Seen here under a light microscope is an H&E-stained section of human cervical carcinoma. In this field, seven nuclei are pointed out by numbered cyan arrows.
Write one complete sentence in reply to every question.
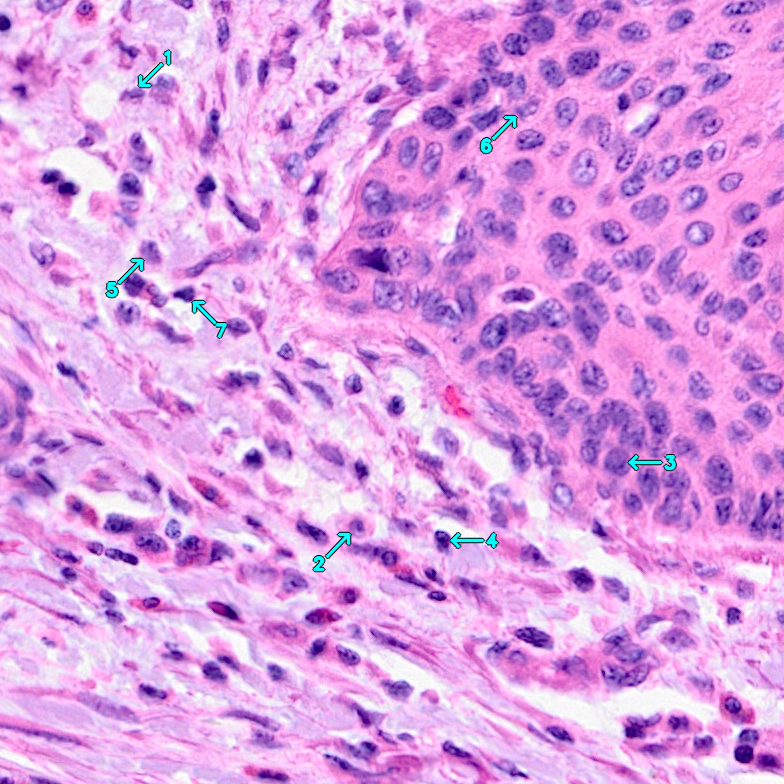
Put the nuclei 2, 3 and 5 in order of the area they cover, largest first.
By area, largest first, they run 3, 5, 2.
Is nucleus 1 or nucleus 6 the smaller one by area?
Nucleus 1 is the smaller one; nucleus 6 covers about 2 times its area.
